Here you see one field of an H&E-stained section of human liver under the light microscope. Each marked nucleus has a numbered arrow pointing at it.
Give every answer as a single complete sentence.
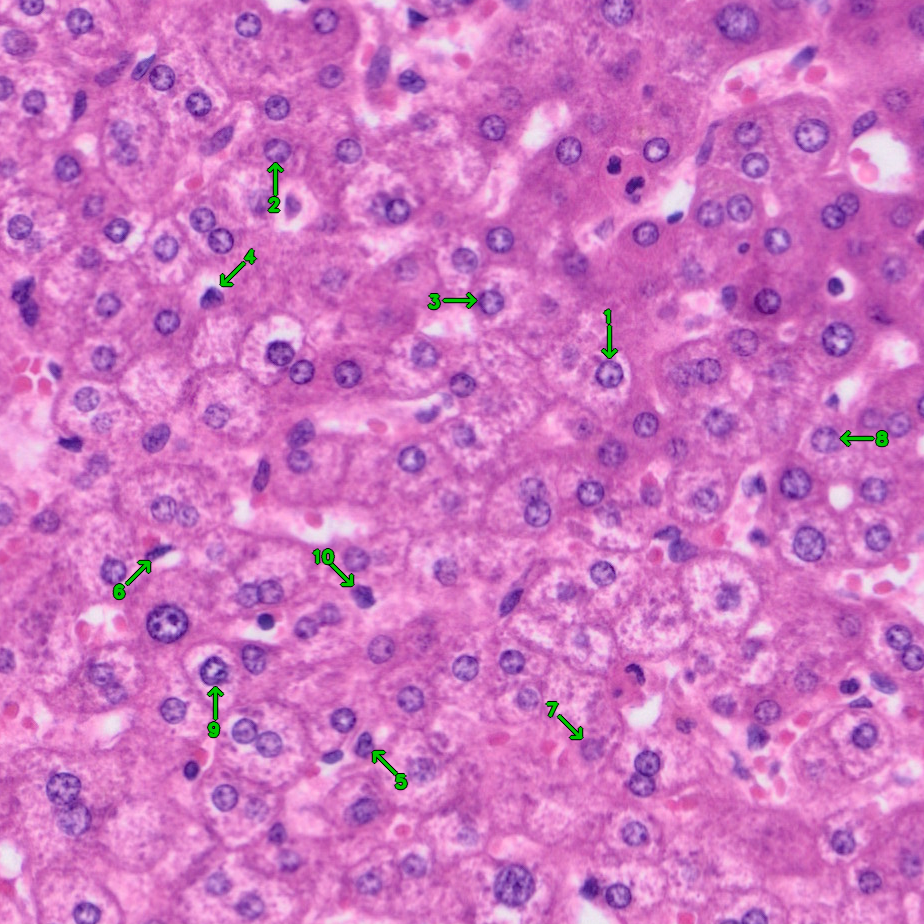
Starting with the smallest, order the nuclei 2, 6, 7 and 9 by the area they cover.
By area, going up from the smallest, they rank 6, 7, 2, 9.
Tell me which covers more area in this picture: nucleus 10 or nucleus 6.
The larger nucleus is 10, at roughly 2 times the area of 6.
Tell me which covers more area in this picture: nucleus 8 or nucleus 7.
Nucleus 8 is larger, with an area about 1.5 times that of nucleus 7.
